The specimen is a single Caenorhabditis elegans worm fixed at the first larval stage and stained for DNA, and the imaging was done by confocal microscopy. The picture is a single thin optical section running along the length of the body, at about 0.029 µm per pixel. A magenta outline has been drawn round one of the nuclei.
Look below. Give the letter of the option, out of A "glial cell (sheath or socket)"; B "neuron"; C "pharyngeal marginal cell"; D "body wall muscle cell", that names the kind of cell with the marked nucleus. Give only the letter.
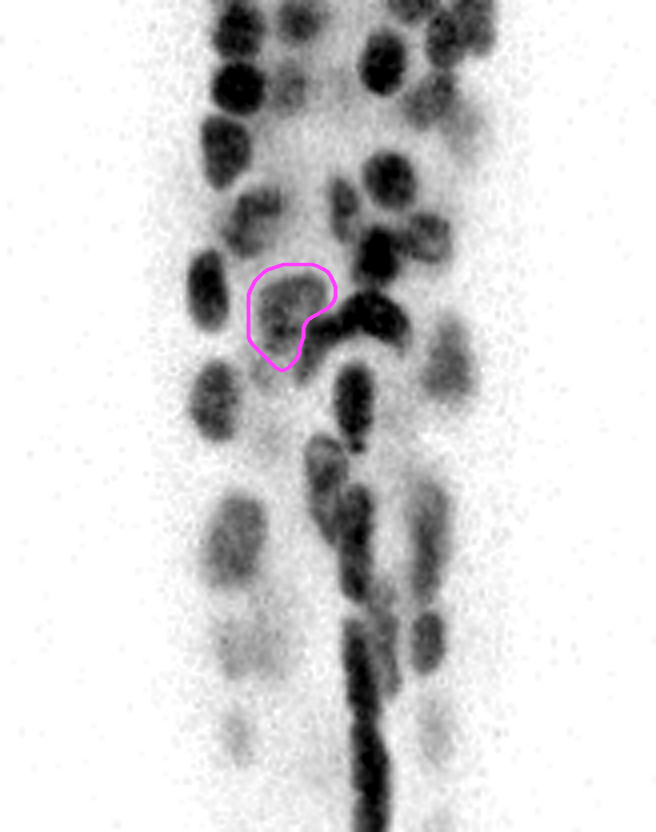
C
